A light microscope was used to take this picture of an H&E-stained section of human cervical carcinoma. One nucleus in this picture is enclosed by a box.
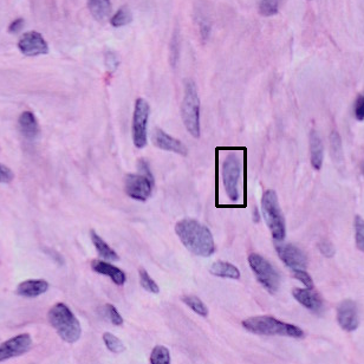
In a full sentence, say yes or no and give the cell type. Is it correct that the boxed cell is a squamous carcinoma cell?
No, the boxed cell qualifies as a fibroblast and does not qualify as a squamous carcinoma cell.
